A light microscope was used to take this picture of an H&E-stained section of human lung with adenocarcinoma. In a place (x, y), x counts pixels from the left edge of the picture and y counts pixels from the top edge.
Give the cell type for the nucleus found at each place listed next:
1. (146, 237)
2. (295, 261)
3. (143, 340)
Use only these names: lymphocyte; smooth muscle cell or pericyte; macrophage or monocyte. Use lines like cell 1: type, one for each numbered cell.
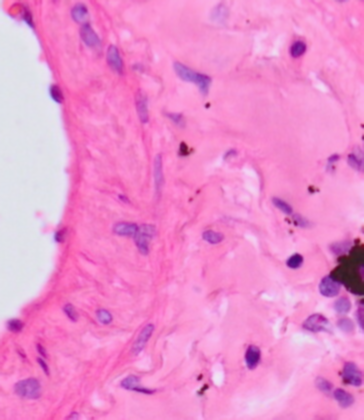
cell 1: smooth muscle cell or pericyte
cell 2: lymphocyte
cell 3: smooth muscle cell or pericyte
